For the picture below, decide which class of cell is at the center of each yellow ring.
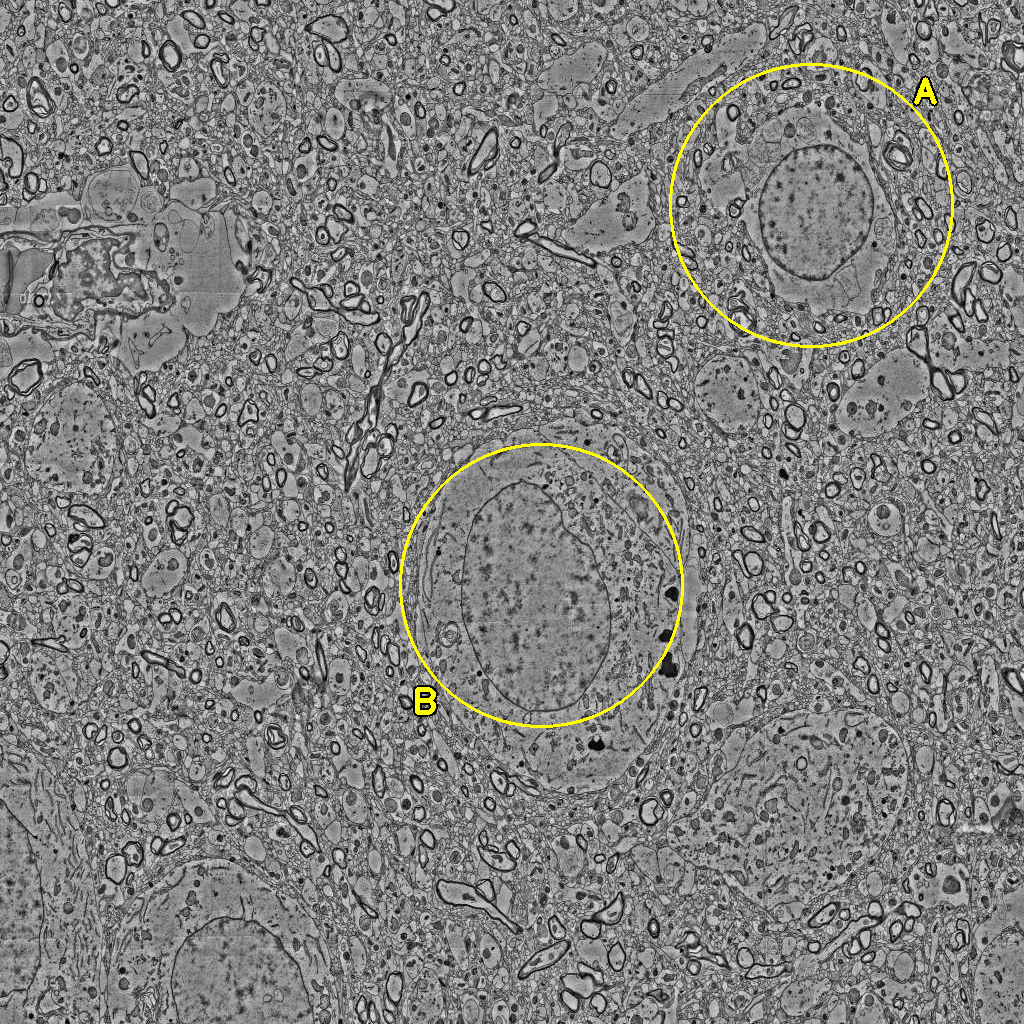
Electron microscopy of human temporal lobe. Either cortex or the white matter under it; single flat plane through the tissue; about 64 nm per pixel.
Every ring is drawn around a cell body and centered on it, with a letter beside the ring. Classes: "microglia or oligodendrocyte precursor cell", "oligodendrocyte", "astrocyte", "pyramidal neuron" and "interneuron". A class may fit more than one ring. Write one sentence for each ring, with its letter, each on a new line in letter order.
Centered in ring A is an astrocyte.
Centered in ring B is a pyramidal neuron.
